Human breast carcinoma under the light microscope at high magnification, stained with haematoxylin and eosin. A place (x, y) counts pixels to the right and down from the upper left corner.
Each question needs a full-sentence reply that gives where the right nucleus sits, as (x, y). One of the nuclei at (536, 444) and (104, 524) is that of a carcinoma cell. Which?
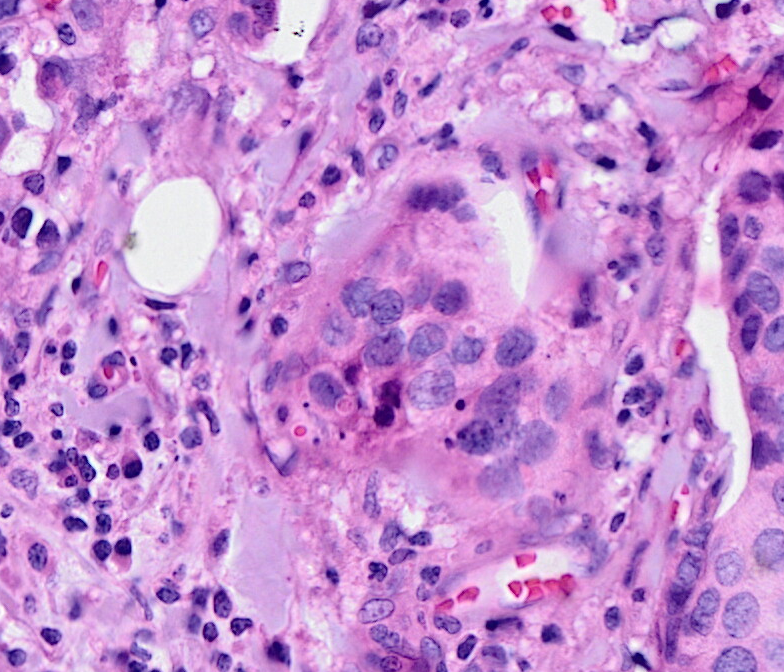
Heads up, the nucleus at (536, 444) is the one that belongs to a carcinoma cell.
